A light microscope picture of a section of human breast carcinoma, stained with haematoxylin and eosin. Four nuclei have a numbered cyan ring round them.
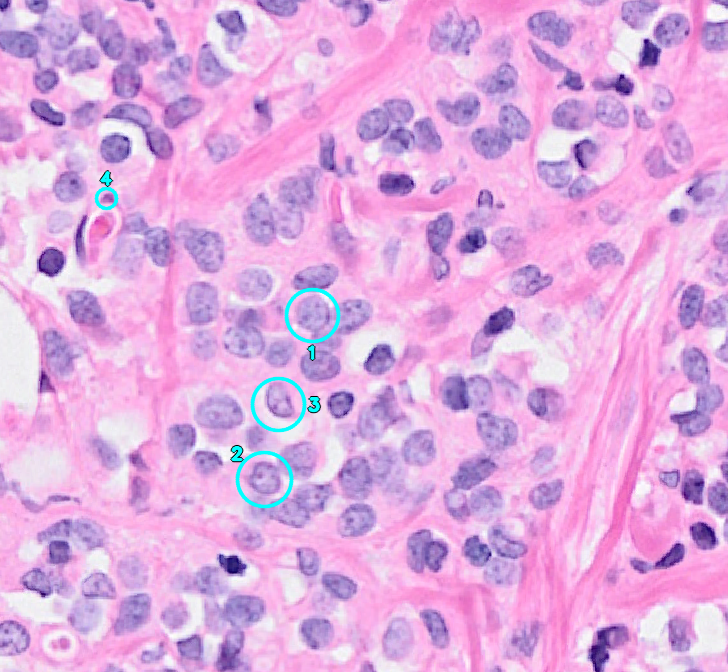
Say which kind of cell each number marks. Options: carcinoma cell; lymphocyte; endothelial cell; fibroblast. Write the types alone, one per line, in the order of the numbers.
carcinoma cell
carcinoma cell
carcinoma cell
endothelial cell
